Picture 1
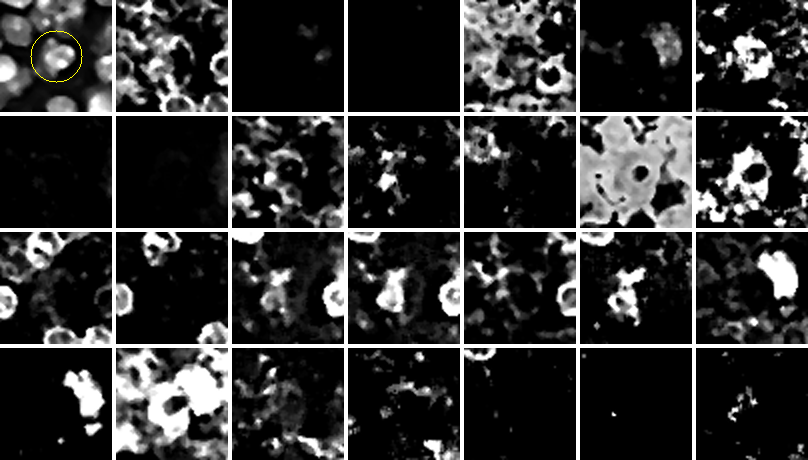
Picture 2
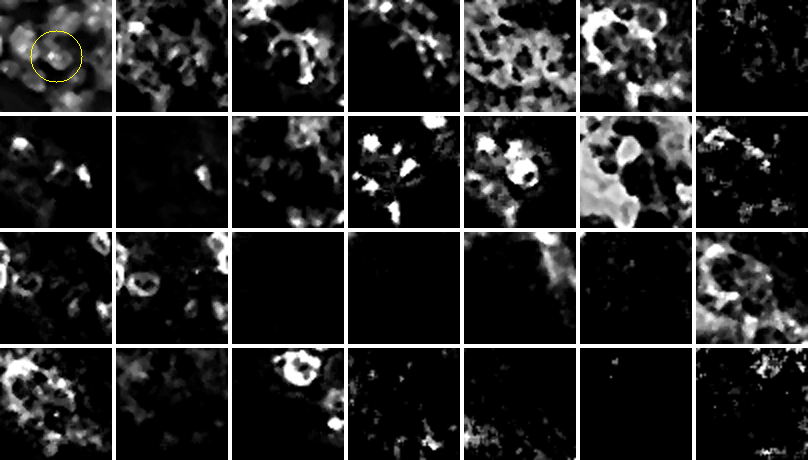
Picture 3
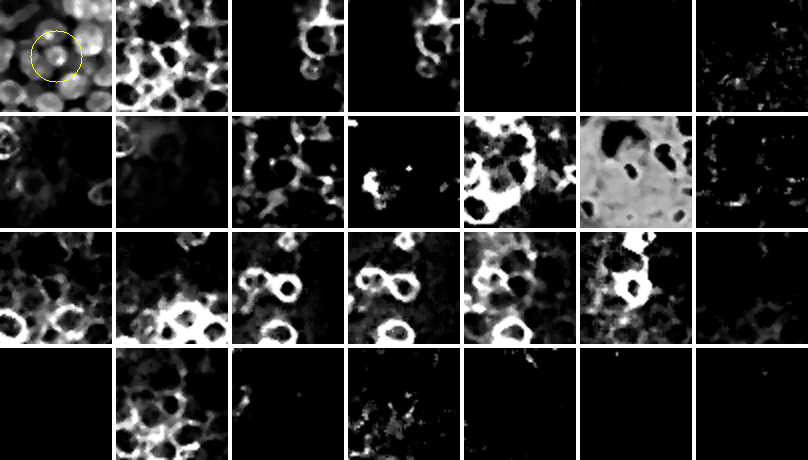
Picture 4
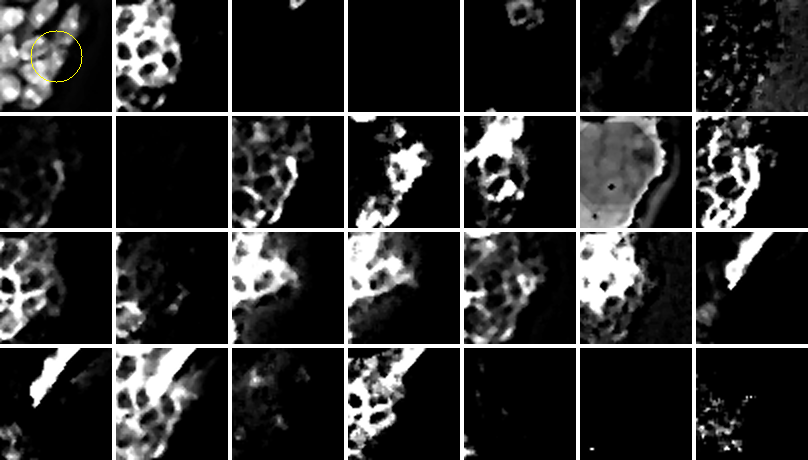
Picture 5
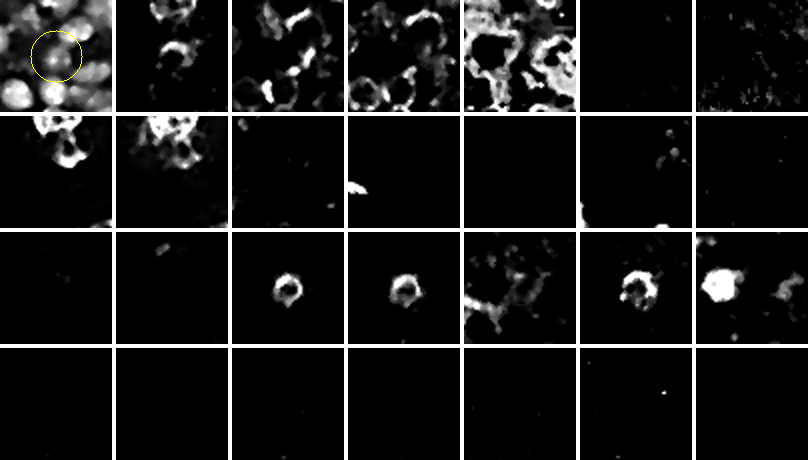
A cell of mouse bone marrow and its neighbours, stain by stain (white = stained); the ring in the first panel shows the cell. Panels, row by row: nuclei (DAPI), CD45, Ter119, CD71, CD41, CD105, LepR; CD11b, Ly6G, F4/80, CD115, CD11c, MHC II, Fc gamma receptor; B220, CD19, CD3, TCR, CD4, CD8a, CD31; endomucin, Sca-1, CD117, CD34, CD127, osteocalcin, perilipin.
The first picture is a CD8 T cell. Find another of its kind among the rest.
Picture 5.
